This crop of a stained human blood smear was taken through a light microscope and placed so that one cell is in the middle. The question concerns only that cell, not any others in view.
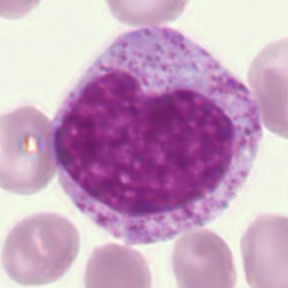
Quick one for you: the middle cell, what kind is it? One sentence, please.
In this crop, the cell at the very middle is a myelocyte.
